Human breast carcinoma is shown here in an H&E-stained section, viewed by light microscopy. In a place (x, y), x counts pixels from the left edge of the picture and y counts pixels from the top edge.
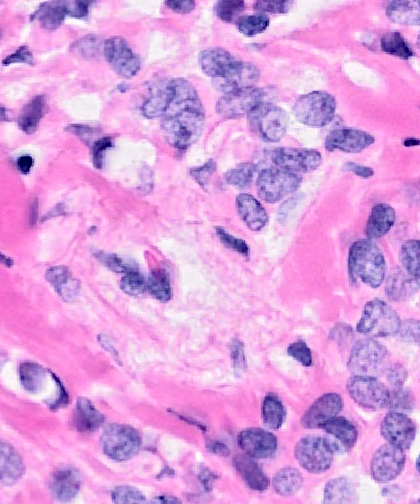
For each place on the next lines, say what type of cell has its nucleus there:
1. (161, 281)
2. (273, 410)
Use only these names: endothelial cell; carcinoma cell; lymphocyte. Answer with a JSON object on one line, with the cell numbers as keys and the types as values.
{"1": "endothelial cell", "2": "carcinoma cell"}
